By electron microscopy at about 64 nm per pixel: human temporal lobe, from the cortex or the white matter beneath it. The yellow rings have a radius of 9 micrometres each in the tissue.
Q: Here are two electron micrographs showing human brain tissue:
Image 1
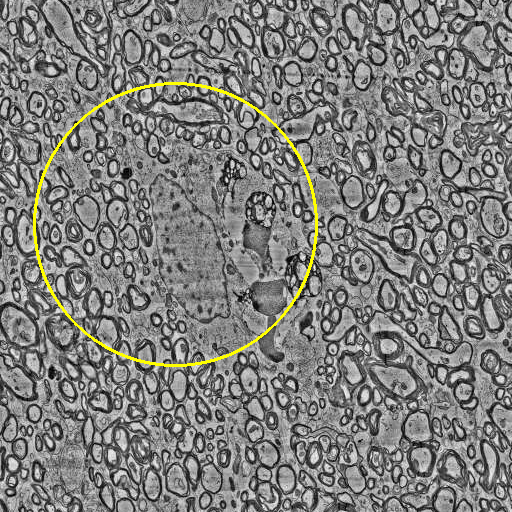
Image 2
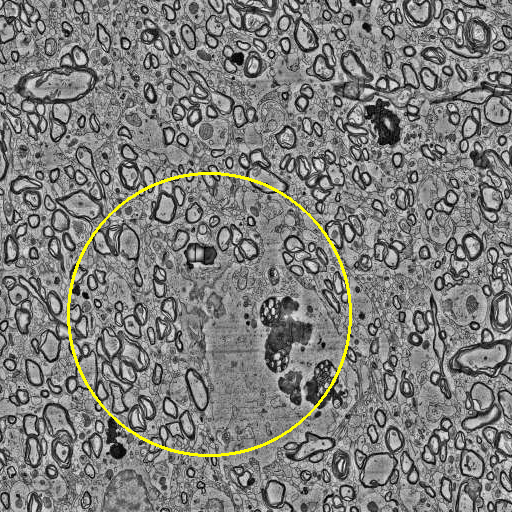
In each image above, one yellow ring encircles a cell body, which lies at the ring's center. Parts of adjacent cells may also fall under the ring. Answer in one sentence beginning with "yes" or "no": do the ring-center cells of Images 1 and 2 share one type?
No, in Images 1 and 2, the ring-center cells are of two types.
